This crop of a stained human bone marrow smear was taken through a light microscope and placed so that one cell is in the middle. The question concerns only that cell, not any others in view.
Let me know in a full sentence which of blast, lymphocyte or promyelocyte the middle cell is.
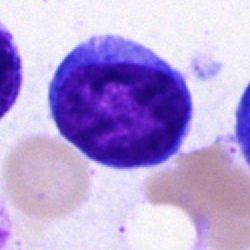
The crop shows a blast in its centre.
